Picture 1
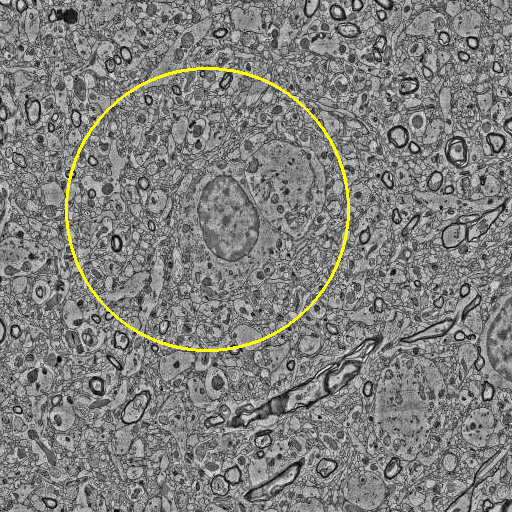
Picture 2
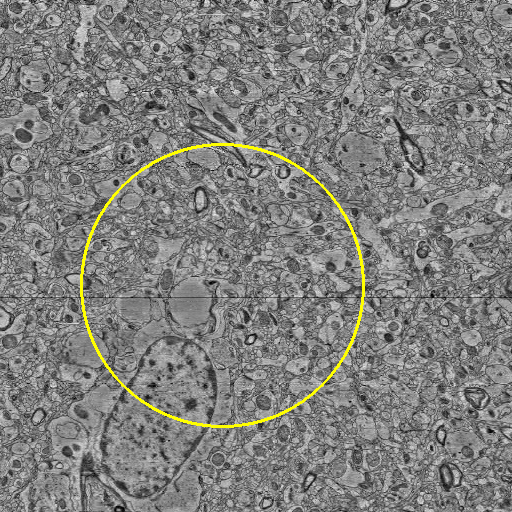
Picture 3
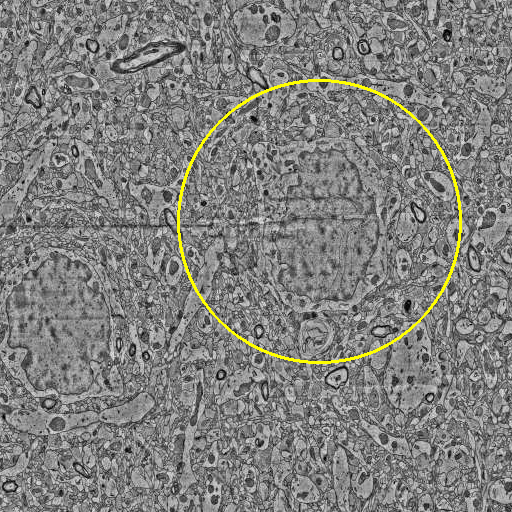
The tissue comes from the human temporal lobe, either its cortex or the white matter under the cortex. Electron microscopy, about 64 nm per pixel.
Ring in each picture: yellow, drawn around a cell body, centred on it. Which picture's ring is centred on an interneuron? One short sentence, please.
Picture 3 is the one.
